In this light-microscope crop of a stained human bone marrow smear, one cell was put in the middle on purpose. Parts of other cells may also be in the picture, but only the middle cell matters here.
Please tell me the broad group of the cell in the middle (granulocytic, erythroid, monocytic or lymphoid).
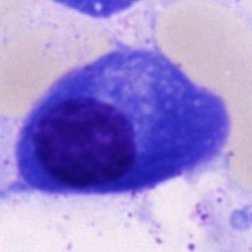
lymphoid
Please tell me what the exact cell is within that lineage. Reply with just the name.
plasma cell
